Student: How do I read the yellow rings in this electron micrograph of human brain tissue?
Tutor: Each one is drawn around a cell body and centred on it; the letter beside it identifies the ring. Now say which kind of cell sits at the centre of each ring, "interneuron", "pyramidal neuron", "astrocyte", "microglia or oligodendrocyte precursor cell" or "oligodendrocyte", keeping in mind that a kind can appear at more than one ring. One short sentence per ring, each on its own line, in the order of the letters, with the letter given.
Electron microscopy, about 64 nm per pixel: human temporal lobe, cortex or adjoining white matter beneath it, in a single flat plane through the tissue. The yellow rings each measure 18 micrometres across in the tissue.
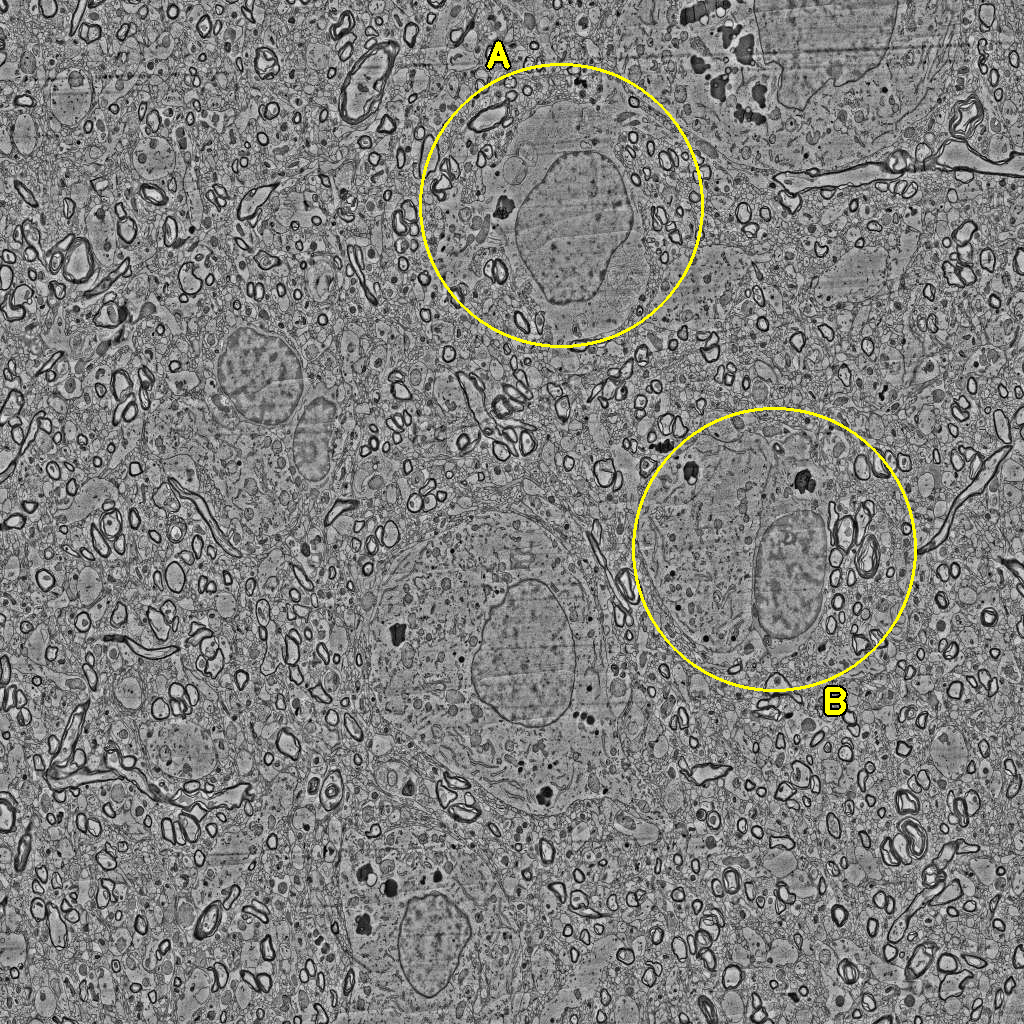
In the centre of ring A is an astrocyte.
In the centre of ring B is an oligodendrocyte.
